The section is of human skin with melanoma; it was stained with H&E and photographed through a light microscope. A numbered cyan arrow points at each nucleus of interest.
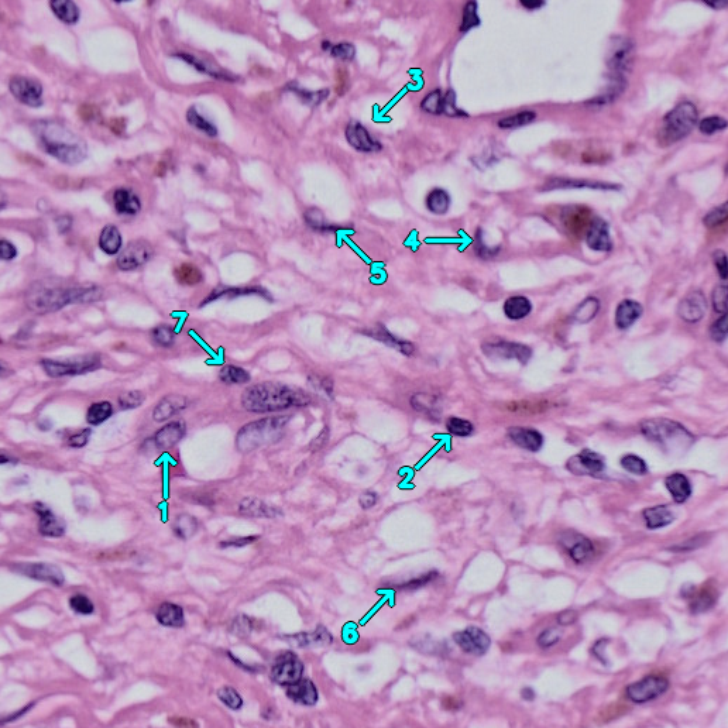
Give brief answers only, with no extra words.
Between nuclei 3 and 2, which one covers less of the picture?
2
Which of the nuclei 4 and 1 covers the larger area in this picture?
1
